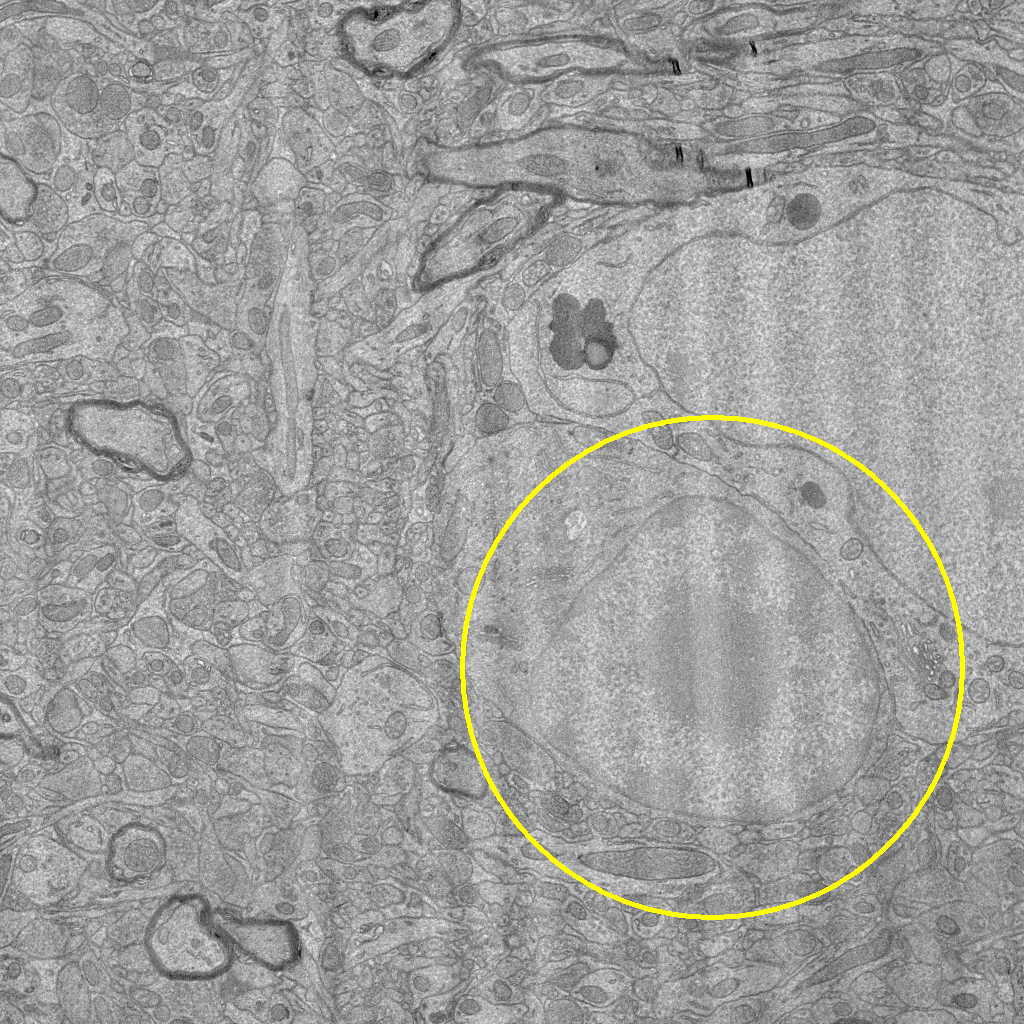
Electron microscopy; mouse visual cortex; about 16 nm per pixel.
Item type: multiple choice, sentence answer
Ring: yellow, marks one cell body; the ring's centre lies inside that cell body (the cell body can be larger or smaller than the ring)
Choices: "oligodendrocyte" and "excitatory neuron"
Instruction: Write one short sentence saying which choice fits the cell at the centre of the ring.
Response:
The centre of this ring lies on an oligodendrocyte.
